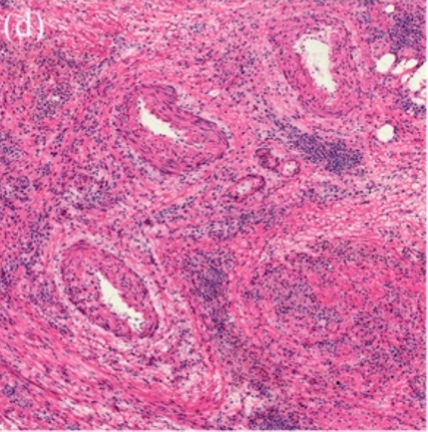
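This is a section of tissue containing several blood vessels with markedly thickened walls, surrounded by inflamed stroma. Each vessel has a narrow, slit-like or oval lumen ringed by thick, concentrically layered pink walls with elongated nuclei running around the lumen. Between the vessels, the pink fibrous stroma holds spindle-shaped nuclei, as well as dense clusters of small, dark purple round nuclei, consistent with an inflammatory cell infiltrate. A few clear, round empty spaces at the upper right edge resemble fat cells.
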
